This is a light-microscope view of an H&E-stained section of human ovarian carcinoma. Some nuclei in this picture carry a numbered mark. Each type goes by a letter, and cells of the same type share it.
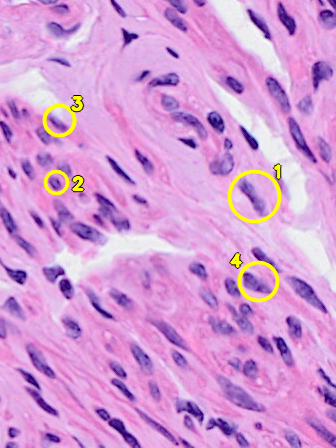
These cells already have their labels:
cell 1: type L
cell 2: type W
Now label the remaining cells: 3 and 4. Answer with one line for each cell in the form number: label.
3: type W
4: type W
